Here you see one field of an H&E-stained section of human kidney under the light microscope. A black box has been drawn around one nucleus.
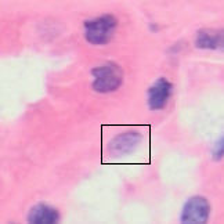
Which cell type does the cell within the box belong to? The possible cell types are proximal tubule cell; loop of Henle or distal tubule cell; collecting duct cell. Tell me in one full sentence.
In short, the cell within the box on this section is a loop of Henle or distal tubule cell.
